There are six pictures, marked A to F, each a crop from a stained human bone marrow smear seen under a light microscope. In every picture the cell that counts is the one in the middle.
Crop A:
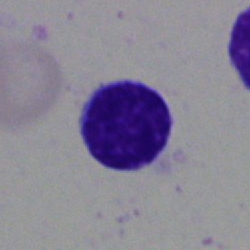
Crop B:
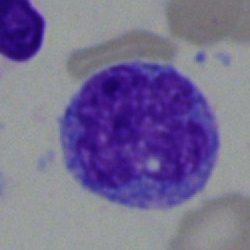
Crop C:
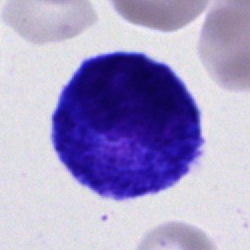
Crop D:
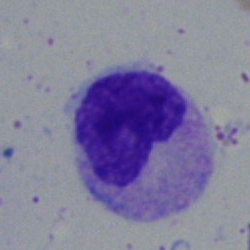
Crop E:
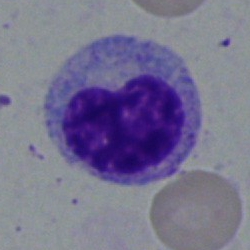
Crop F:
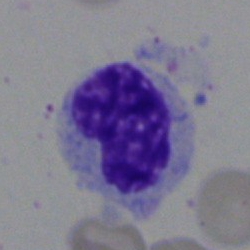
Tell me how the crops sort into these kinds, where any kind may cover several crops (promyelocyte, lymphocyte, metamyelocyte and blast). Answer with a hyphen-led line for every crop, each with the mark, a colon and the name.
- A: lymphocyte
- B: blast
- C: promyelocyte
- D: metamyelocyte
- E: metamyelocyte
- F: metamyelocyte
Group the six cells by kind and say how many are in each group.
metamyelocyte: 3
lymphocyte: 1
blast: 1
promyelocyte: 1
